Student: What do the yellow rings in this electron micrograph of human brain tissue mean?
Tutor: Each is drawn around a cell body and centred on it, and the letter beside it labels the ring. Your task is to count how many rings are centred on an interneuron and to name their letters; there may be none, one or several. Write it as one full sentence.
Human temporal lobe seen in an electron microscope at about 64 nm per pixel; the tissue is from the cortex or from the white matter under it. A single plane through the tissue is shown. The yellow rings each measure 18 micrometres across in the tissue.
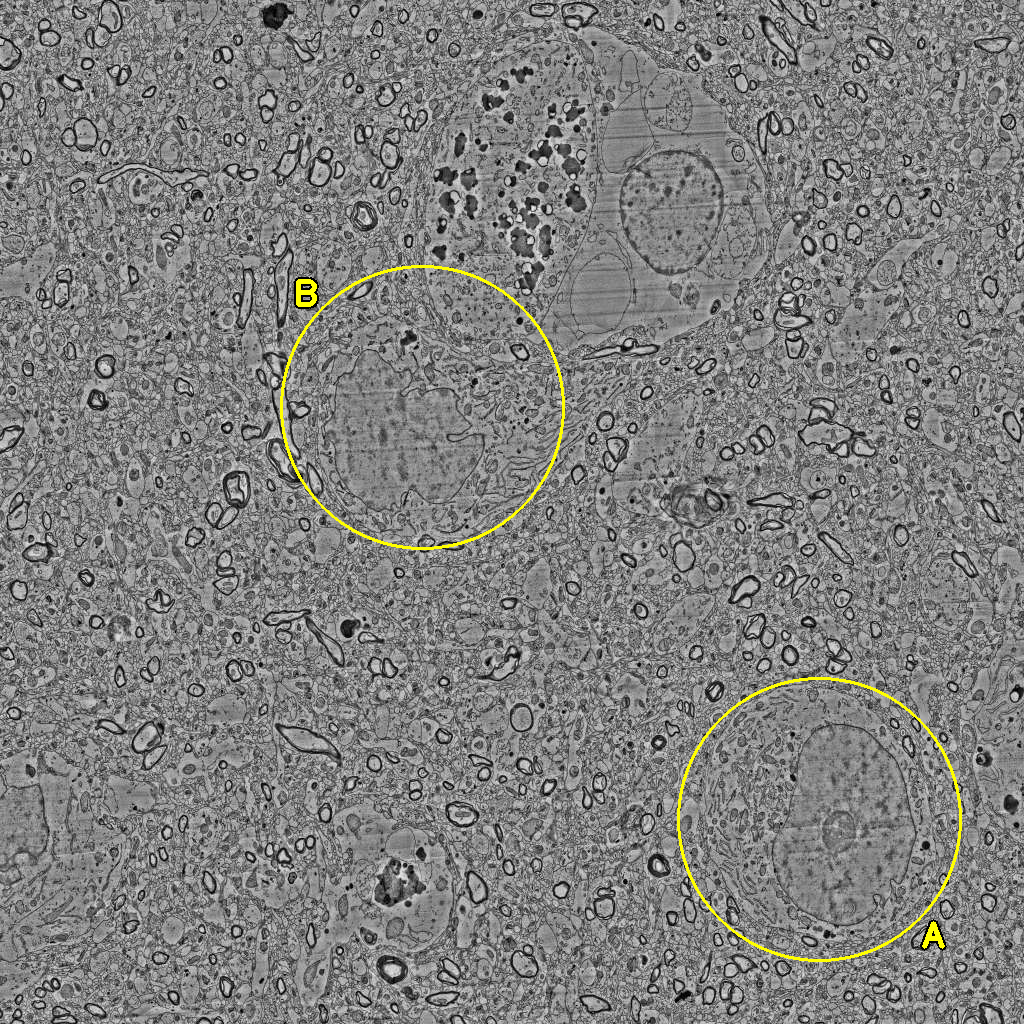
The two rings that bear the letters A and B have each been centred on an interneuron.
